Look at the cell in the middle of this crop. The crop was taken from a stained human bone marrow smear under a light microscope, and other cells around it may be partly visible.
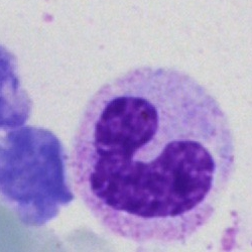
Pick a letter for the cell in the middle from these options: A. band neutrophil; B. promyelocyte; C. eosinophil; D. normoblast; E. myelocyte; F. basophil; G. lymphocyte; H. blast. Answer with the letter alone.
A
